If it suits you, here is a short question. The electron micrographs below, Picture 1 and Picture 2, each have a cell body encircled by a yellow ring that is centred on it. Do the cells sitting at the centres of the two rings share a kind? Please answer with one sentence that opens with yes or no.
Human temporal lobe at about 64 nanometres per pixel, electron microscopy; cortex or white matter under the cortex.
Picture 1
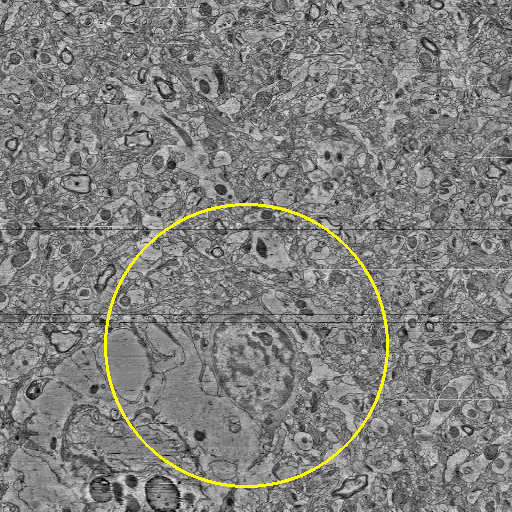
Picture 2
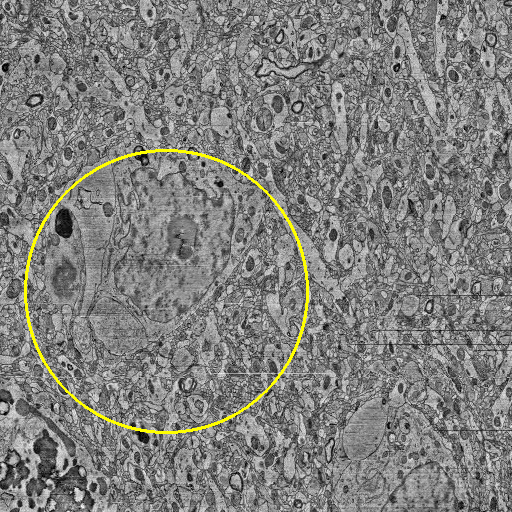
No, the two cells sitting at the ring centres fall into two kinds.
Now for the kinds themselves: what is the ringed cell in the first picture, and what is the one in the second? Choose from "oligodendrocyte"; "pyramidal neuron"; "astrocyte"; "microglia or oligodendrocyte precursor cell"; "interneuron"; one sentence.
Here the first cell is an oligodendrocyte and the second cell is an interneuron.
